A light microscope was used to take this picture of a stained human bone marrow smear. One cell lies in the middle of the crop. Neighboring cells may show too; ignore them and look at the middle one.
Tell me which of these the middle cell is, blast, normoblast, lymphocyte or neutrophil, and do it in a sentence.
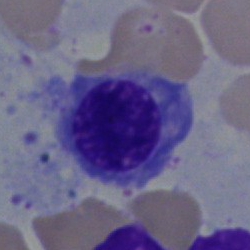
Centred in the crop is a normoblast.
